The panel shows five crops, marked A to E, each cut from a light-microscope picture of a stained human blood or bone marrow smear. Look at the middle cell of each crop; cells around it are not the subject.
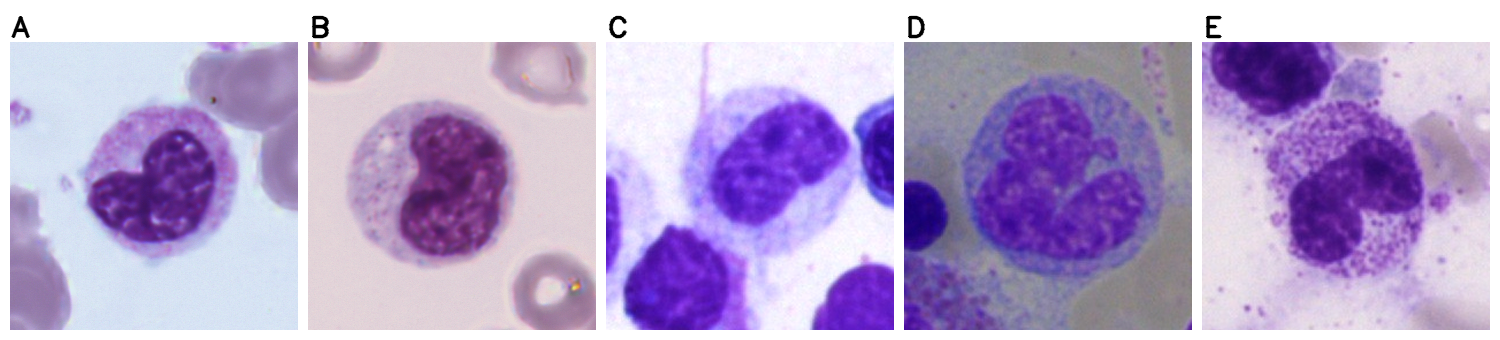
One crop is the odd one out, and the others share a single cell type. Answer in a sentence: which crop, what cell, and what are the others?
Among these crops, metamyelocytes occur in all but crop D, which contains a monocyte.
